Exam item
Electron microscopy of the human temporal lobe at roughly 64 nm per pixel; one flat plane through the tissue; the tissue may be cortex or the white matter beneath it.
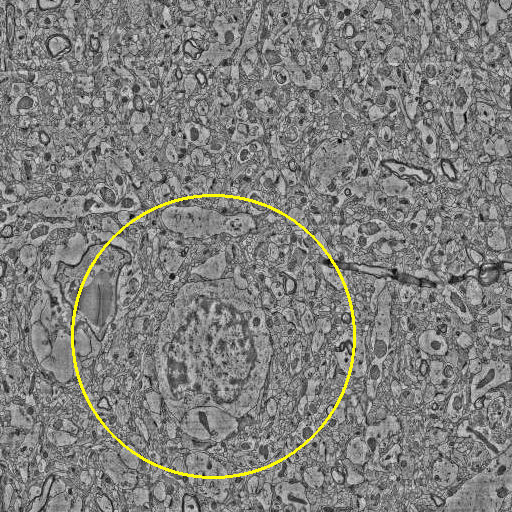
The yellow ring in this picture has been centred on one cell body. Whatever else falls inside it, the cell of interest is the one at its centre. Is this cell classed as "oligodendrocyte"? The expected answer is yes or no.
no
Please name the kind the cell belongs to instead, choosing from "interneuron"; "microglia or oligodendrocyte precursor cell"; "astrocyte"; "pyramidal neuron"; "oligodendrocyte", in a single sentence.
The cell that the ring is centred on is an interneuron.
